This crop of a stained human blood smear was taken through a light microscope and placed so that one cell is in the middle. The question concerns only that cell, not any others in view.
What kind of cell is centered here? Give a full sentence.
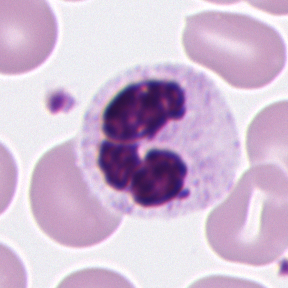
In this crop, the cell at the very middle is a segmented neutrophil.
